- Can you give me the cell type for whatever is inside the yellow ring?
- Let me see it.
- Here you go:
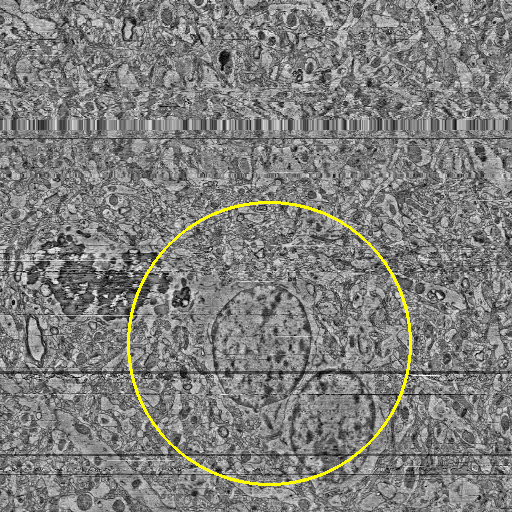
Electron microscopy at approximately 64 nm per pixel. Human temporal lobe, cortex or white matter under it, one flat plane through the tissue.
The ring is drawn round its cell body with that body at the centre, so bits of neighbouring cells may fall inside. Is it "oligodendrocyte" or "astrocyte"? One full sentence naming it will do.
The cell body in the middle of the ring in this picture belongs to an astrocyte.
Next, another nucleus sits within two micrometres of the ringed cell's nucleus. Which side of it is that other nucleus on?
The other nucleus lies to the lower right of it.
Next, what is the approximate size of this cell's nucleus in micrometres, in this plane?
About 8 by 6 micrometres in this plane.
